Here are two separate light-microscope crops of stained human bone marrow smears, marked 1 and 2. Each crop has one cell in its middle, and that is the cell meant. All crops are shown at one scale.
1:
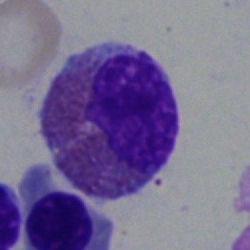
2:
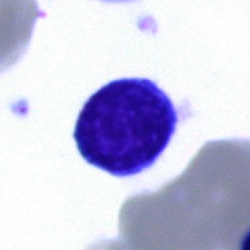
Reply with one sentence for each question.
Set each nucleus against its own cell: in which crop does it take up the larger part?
The nucleus fills more of the cell in crop 2 than in crop 1.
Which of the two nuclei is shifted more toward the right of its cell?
It is the nucleus in crop 1 that lies further toward the right of its cell.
